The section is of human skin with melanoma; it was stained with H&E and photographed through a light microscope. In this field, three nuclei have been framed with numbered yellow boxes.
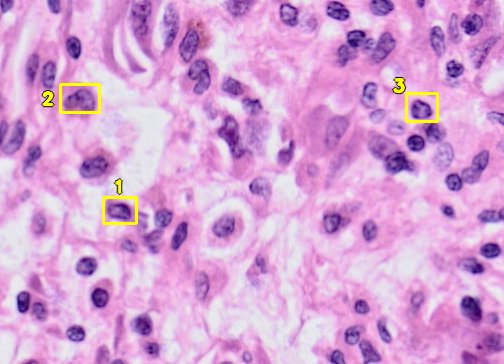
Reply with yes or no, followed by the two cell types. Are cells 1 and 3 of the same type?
No; cell 1 is a macrophage or monocyte, whereas cell 3 is a lymphocyte.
